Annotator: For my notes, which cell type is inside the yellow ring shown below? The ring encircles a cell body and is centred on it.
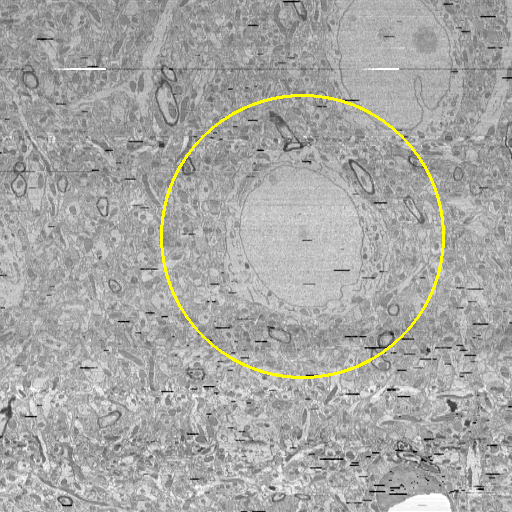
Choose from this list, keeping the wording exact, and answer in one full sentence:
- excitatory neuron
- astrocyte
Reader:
At the centre of the yellow ring there is an excitatory neuron, as shown in the picture.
